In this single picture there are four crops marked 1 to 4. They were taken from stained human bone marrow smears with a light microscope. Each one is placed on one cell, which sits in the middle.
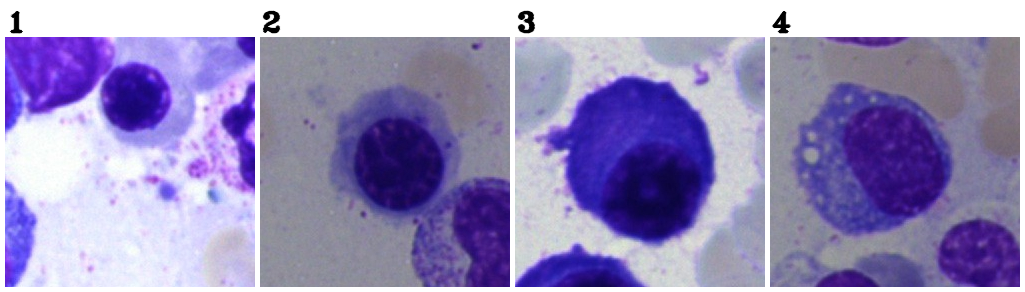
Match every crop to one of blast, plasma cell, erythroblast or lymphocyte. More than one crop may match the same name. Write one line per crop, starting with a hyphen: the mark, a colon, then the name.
- 1: erythroblast
- 2: erythroblast
- 3: plasma cell
- 4: plasma cell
